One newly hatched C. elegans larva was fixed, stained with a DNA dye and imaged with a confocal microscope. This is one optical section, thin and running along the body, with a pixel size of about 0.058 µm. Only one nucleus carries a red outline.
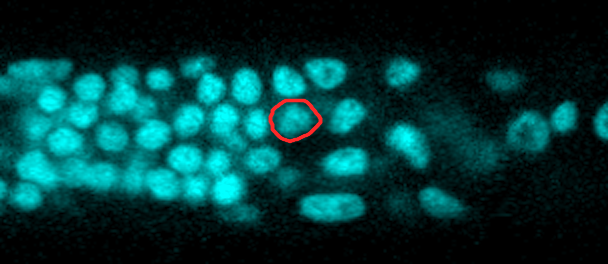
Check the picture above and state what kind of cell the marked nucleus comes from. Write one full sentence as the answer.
The cell with the marked nucleus is a pharyngeal muscle cell.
